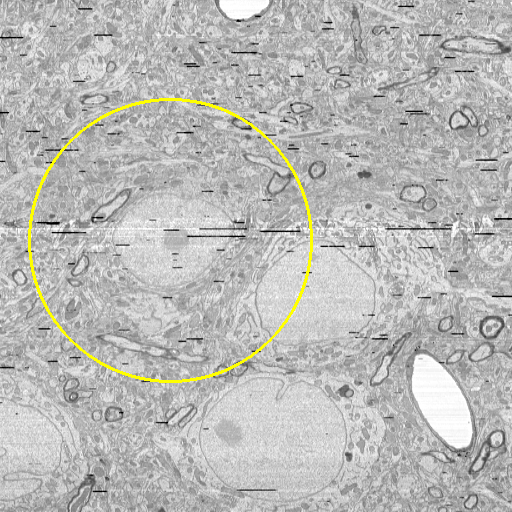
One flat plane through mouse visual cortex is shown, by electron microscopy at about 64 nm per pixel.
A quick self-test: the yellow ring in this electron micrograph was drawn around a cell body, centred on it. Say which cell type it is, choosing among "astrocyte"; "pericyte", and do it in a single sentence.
The yellow-ringed cell is an astrocyte.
